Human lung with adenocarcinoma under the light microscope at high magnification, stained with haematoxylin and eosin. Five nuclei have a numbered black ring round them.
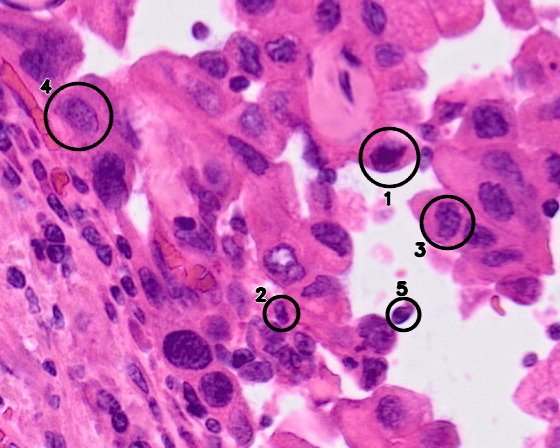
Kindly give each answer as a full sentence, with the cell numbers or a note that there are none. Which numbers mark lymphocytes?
The cells carrying the numbers 2 and 5 are lymphocytes.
